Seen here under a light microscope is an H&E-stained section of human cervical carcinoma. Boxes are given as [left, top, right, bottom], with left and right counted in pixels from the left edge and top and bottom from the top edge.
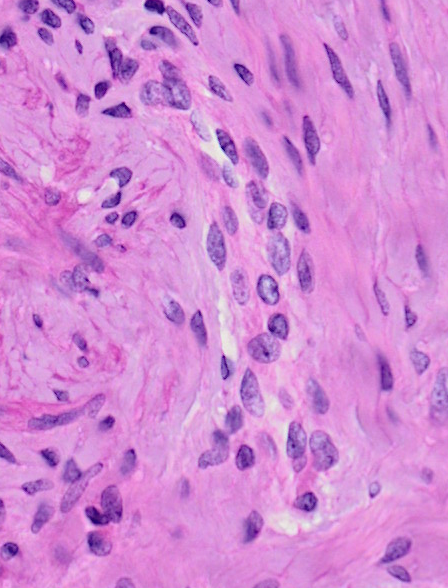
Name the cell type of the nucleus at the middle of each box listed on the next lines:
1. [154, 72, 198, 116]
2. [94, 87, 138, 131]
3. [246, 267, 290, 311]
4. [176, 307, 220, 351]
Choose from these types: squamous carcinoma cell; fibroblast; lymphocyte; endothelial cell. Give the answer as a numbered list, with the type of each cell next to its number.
1. endothelial cell
2. fibroblast
3. endothelial cell
4. fibroblast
